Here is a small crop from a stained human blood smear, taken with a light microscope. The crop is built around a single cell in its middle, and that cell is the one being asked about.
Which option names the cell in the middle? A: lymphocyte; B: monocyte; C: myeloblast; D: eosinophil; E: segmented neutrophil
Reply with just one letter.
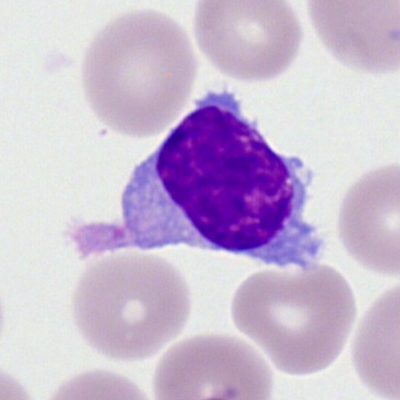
A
